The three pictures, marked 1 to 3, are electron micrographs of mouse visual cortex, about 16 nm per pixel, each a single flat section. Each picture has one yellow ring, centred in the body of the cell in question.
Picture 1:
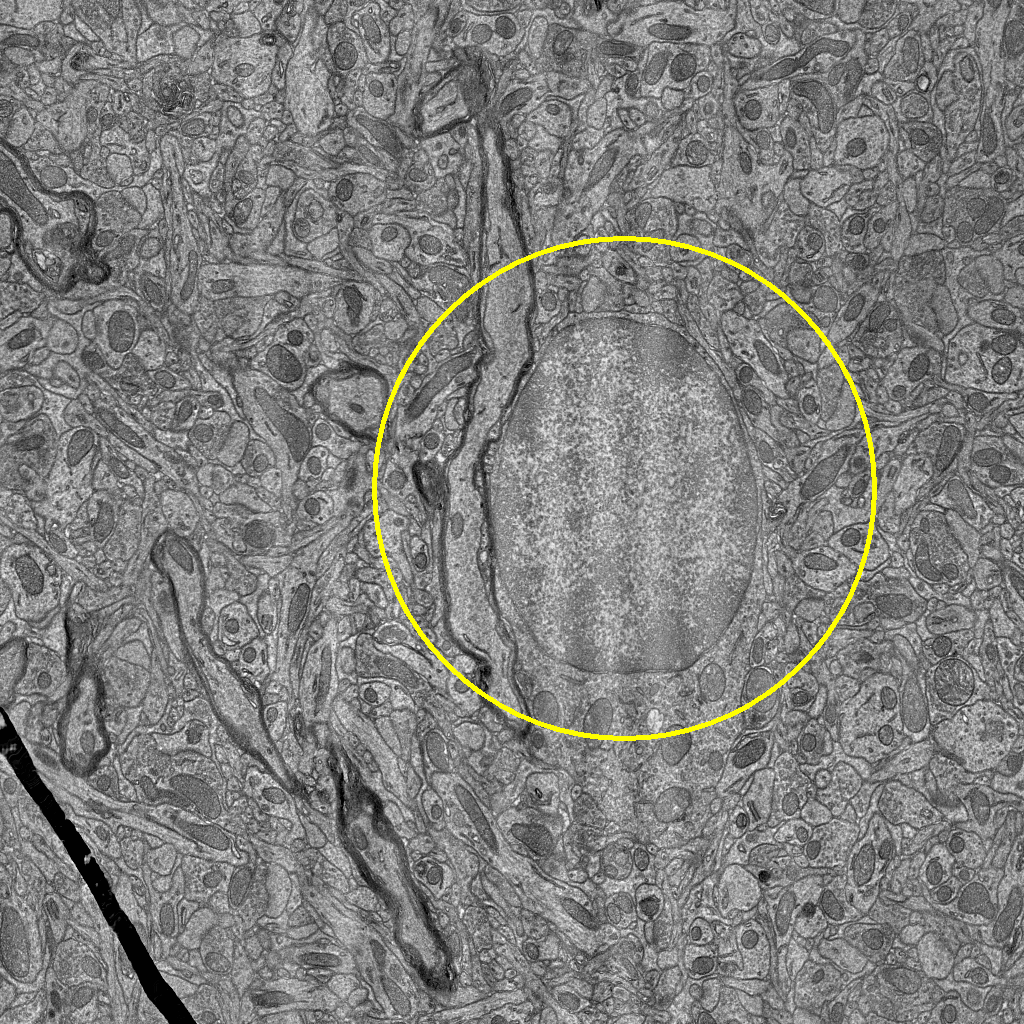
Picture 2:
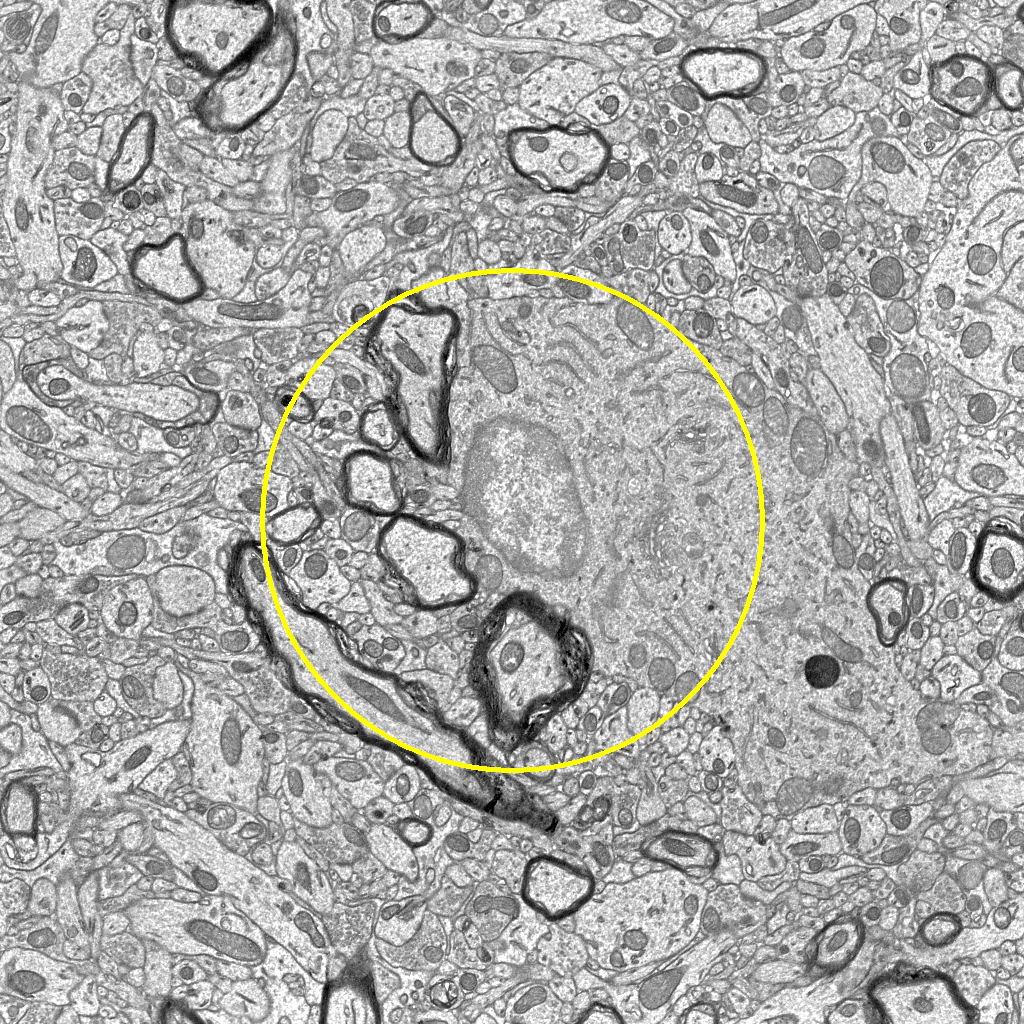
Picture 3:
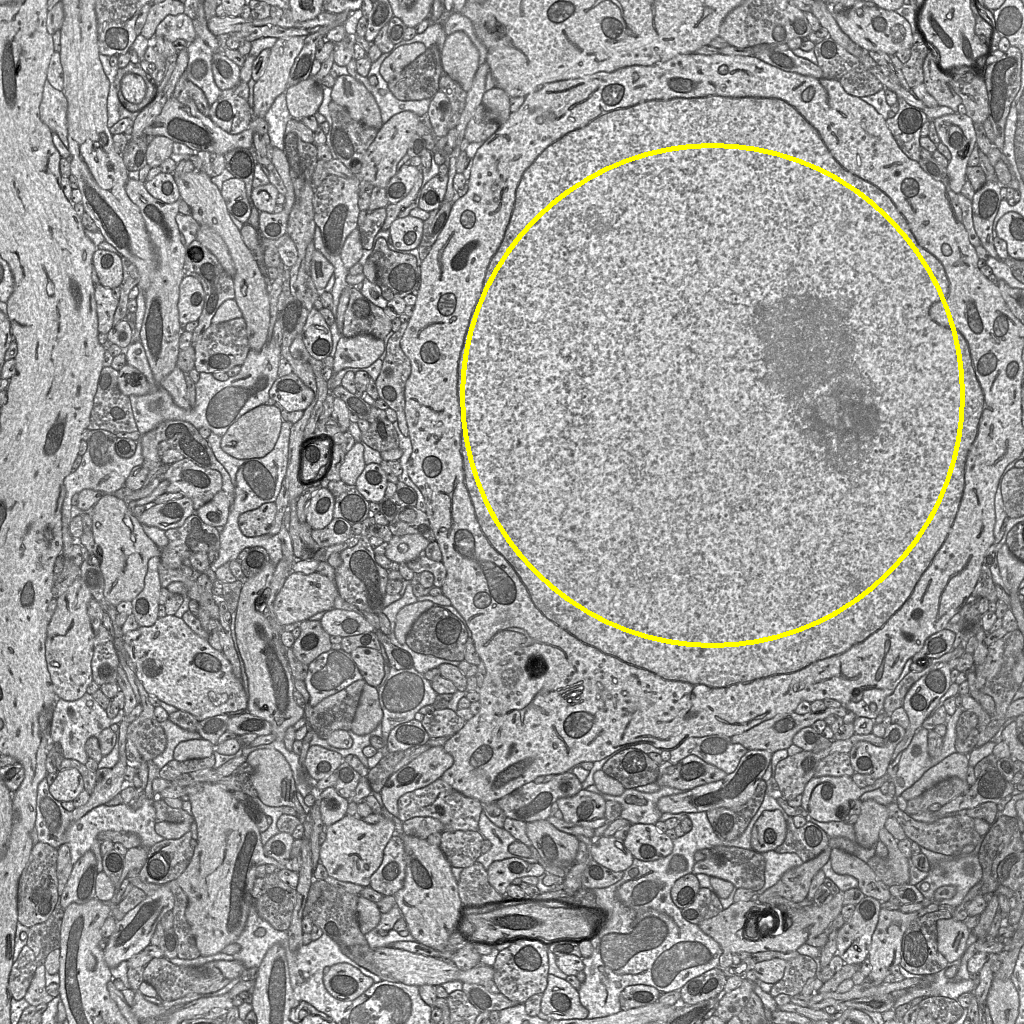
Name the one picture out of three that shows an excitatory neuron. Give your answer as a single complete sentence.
It is picture 3 that shows the excitatory neuron.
